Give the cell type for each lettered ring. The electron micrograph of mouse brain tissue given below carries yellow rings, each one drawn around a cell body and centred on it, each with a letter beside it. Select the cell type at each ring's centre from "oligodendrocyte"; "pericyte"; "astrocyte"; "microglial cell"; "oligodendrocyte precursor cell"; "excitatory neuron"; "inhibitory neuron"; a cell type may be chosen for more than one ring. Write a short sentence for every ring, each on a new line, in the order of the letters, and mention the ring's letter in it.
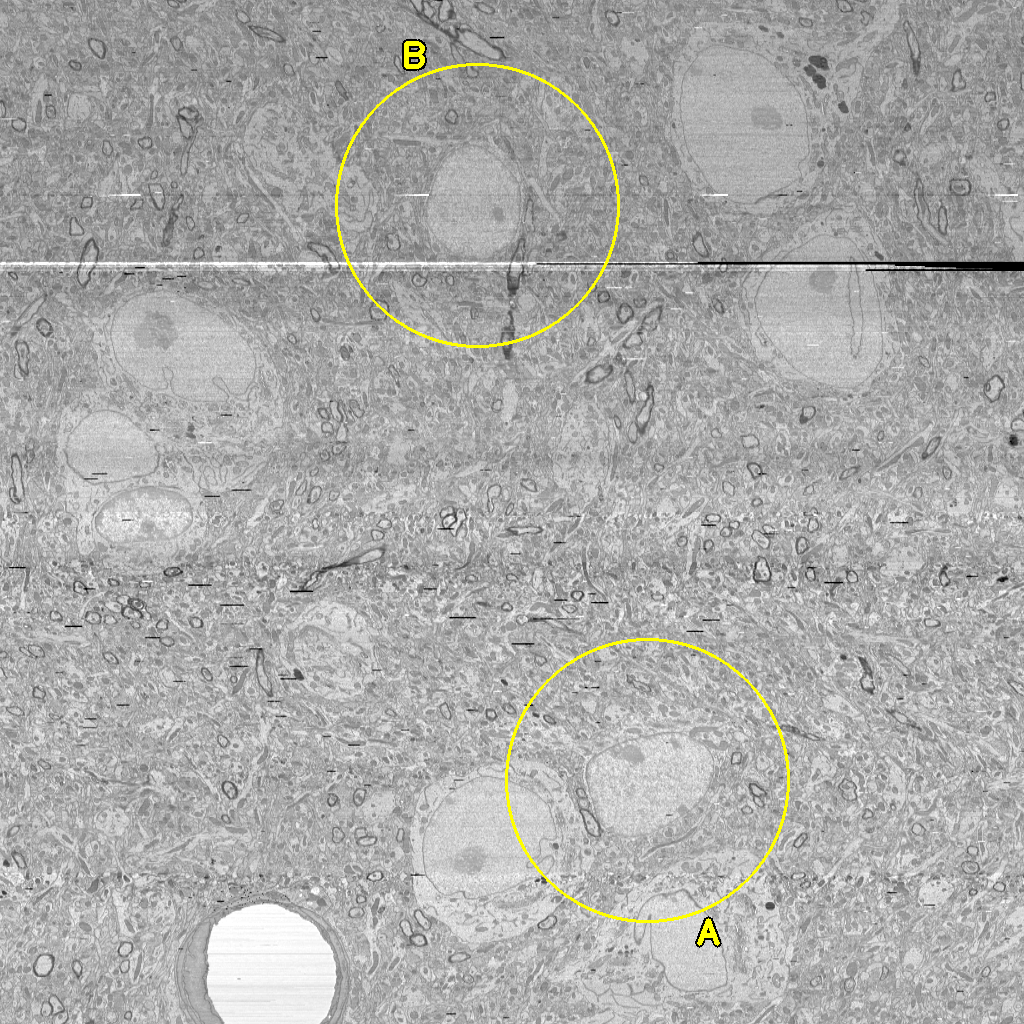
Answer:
The cell type for ring A is an astrocyte.
The cell type for ring B is an astrocyte.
